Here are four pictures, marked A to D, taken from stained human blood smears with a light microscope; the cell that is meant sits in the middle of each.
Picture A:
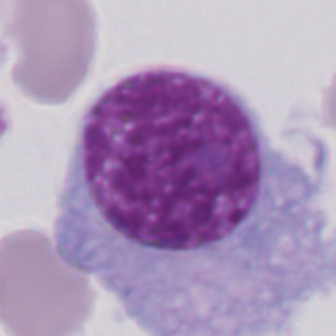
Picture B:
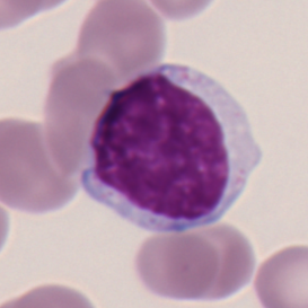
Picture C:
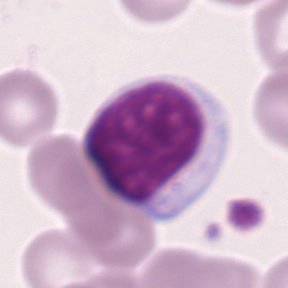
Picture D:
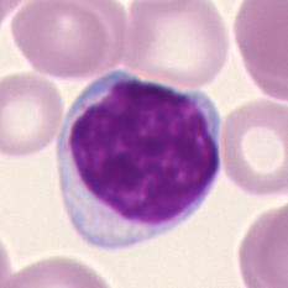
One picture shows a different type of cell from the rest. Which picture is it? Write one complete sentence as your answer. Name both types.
Unlike the rest, which show large granular lymphocytes, picture A shows a plasma cell.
